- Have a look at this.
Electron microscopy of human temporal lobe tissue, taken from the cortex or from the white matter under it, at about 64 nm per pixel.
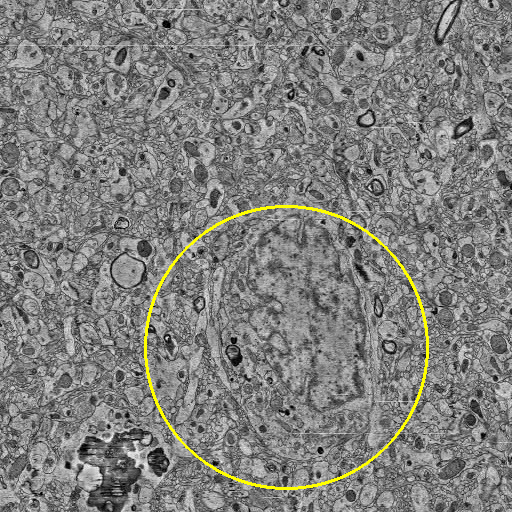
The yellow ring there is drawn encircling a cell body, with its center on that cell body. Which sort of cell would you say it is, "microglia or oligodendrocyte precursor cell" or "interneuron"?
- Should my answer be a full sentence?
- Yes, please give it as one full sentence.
For this picture, an interneuron is the cell where the yellow ring has its center.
